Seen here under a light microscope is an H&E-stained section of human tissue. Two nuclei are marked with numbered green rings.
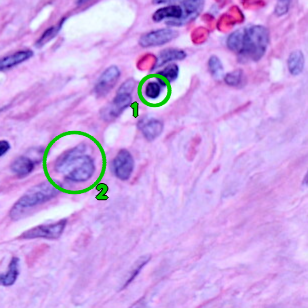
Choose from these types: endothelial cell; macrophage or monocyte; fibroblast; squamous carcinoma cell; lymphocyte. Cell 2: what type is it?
endothelial cell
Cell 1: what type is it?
lymphocyte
